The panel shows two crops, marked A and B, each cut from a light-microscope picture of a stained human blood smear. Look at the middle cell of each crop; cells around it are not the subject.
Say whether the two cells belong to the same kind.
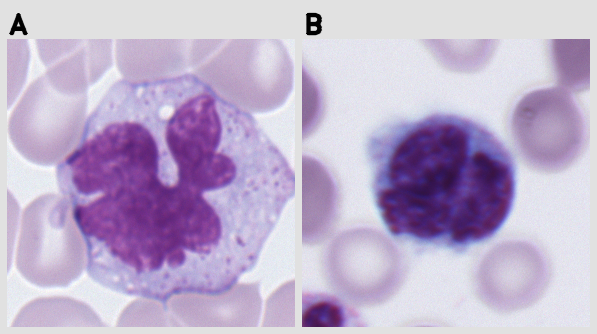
yes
